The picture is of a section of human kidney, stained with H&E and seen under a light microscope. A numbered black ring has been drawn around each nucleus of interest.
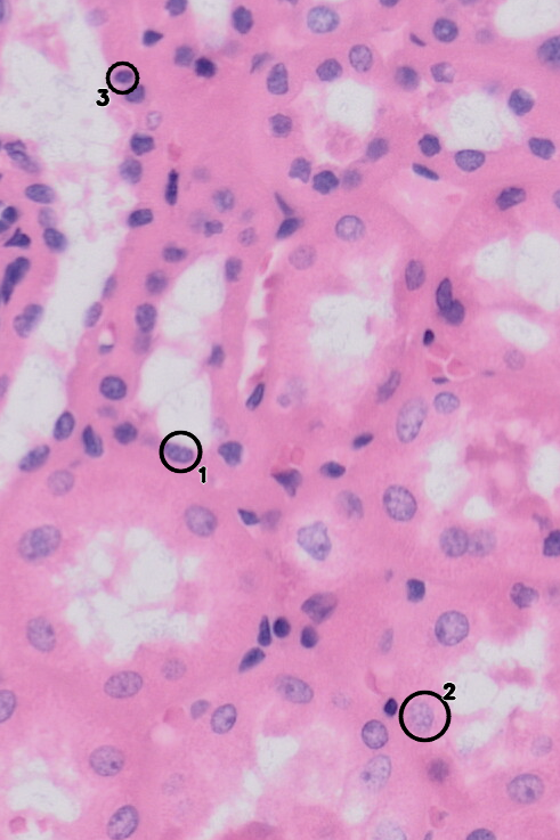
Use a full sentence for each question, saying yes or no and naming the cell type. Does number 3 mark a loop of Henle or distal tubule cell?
Yes, it is a loop of Henle or distal tubule cell that carries the number 3.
